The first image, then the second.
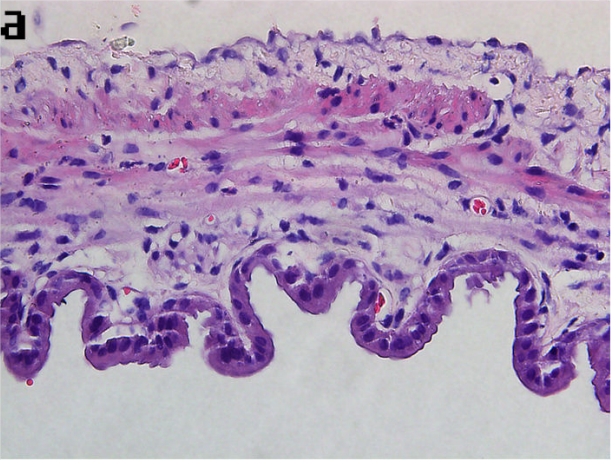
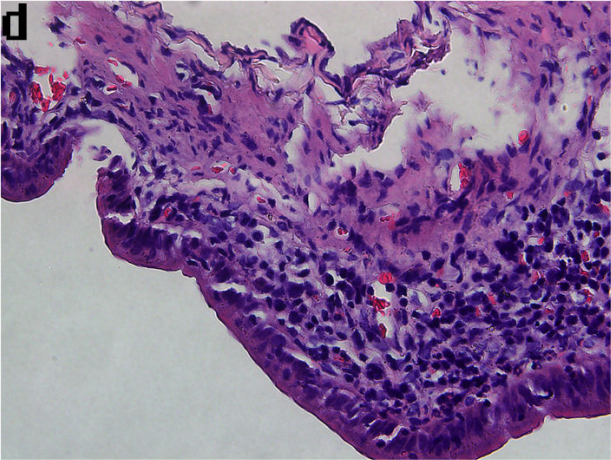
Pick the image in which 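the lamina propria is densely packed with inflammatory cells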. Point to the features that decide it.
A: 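Second image: the tissue beneath the epithelium is crowded with many small dark round nuclei. First image: the tissue beneath the folded epithelium holds only scattered nuclei.
The second image.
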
